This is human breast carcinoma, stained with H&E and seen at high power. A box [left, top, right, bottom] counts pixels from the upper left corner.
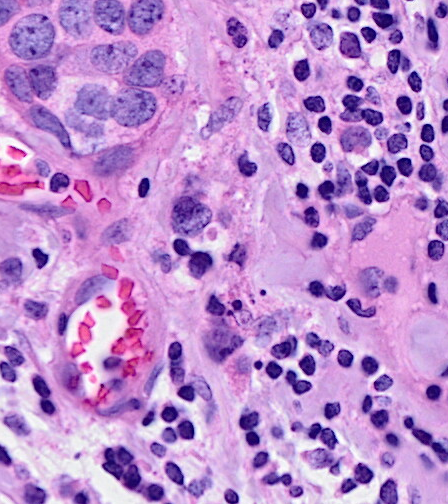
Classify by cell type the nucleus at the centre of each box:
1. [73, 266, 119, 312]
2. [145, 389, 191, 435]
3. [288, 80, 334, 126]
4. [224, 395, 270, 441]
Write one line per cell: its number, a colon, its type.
1: endothelial cell
2: lymphocyte
3: lymphocyte
4: lymphocyte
